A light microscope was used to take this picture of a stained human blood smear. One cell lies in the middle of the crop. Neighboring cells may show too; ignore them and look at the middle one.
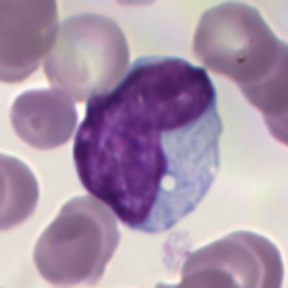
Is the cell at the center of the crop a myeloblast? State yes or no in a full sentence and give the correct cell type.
Yes, as for the central cell, it is a myeloblast.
